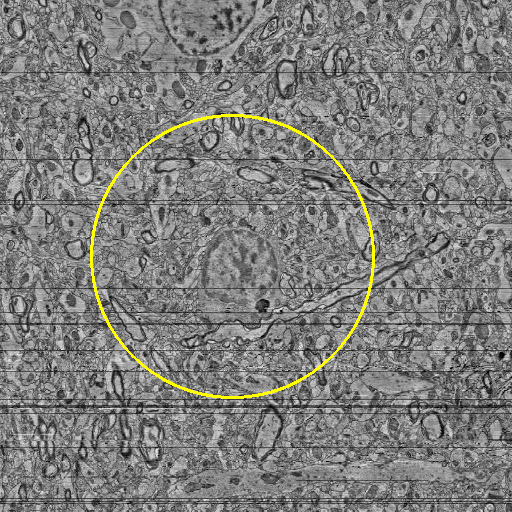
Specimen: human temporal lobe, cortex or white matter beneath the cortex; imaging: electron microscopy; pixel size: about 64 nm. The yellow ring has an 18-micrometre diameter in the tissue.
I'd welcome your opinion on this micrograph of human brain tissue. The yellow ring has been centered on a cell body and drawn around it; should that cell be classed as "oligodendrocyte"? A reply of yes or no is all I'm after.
yes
